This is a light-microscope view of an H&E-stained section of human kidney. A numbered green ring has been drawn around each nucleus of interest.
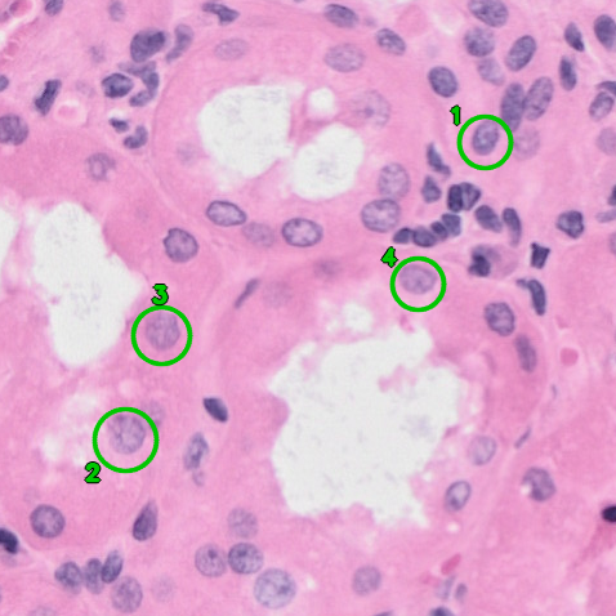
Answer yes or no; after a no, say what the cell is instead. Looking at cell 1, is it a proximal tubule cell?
No, it is a collecting duct cell.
